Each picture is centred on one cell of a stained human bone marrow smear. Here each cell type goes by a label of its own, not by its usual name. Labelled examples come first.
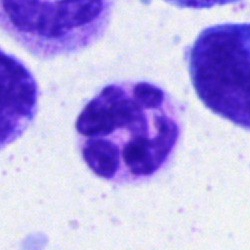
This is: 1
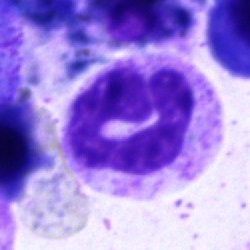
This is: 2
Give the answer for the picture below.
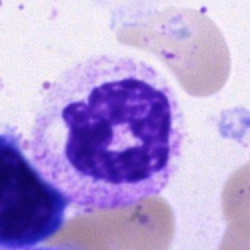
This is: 1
